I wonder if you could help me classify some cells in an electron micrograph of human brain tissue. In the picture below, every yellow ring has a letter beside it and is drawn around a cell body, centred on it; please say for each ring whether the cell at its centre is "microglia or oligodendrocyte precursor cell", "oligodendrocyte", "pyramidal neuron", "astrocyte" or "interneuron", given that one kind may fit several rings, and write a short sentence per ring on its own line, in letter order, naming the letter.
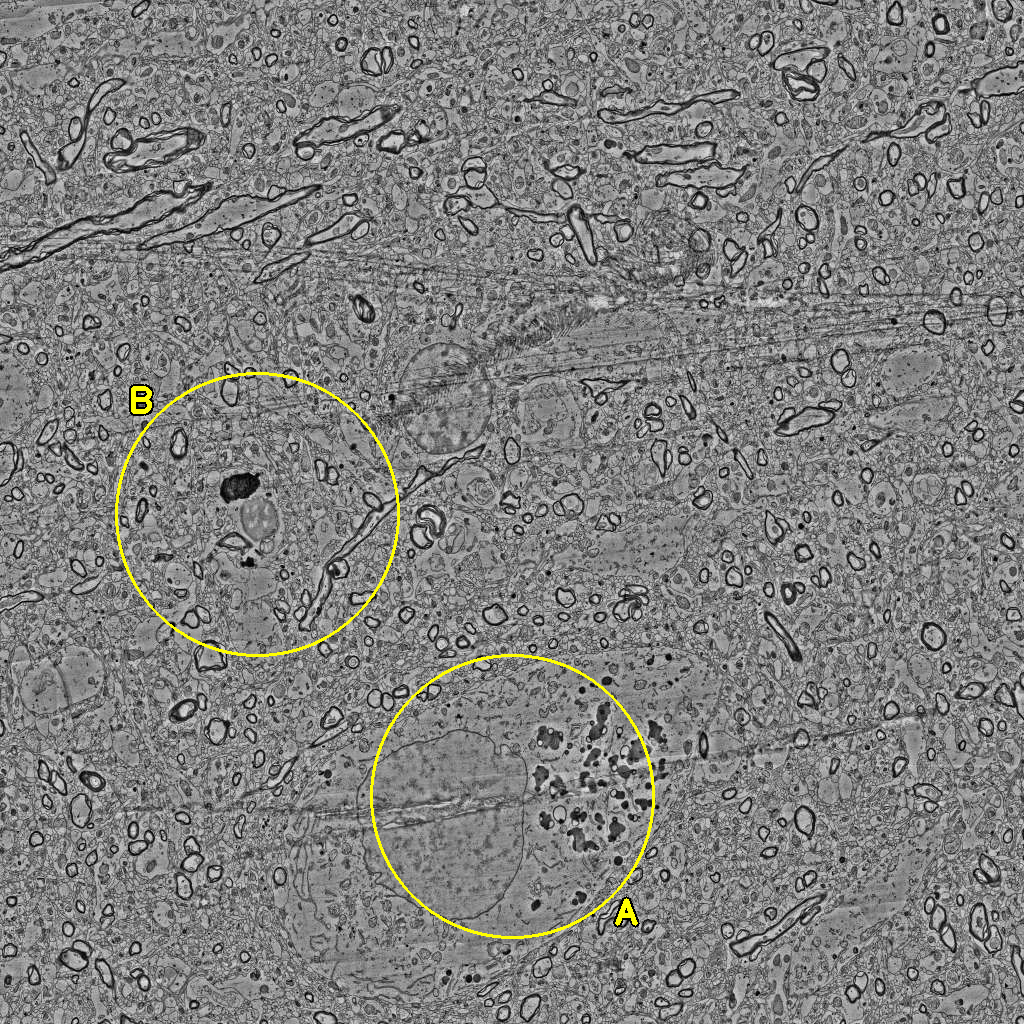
Centred in ring A is a pyramidal neuron.
Centred in ring B is an oligodendrocyte.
